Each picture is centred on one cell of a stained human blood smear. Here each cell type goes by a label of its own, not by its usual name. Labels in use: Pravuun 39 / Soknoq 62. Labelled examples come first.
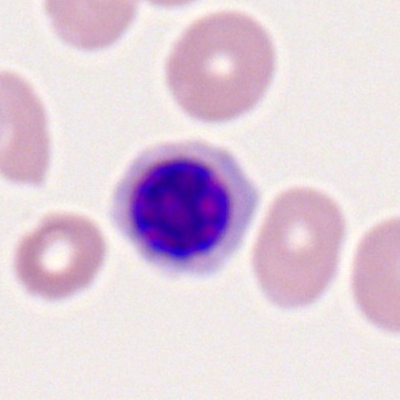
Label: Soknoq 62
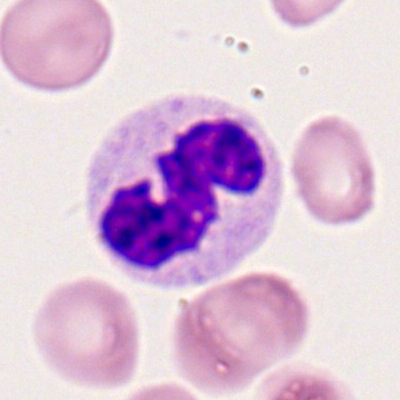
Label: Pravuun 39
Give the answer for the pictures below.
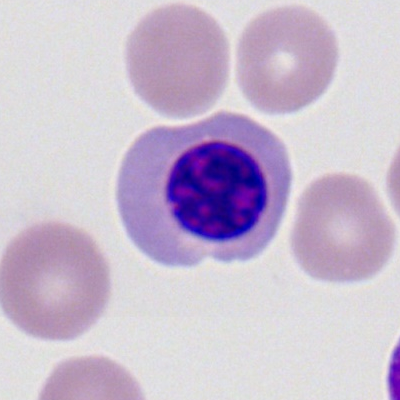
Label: Soknoq 62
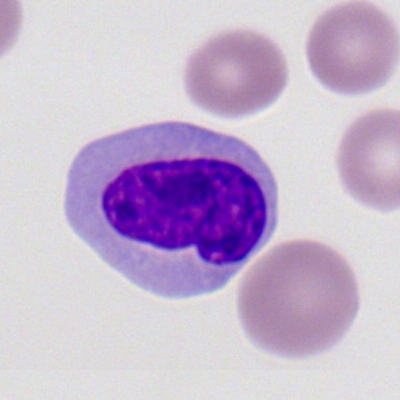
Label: Soknoq 62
